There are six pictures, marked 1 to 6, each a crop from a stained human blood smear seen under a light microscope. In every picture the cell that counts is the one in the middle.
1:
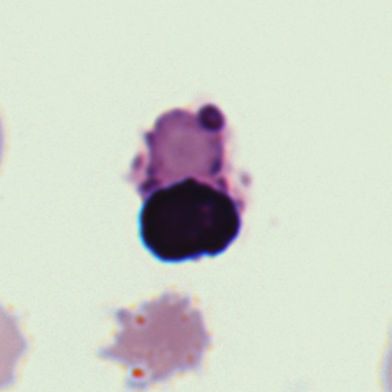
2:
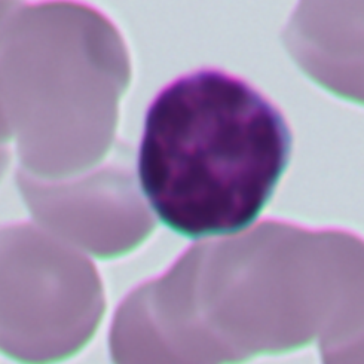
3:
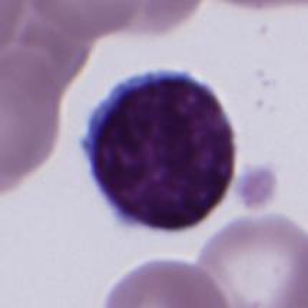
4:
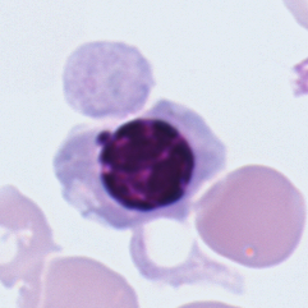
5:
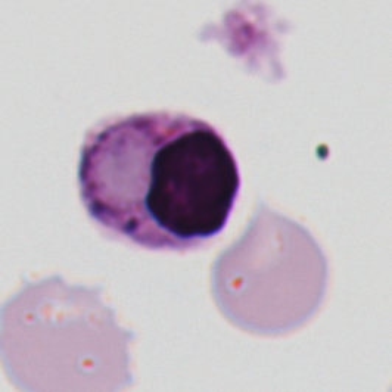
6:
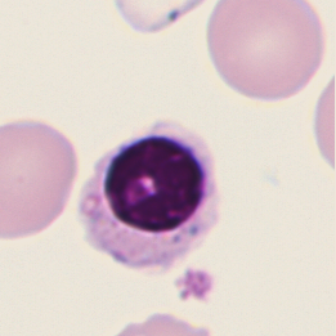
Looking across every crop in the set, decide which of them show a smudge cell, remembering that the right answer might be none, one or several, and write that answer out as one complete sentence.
No crop shows a smudge cell as its central cell.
